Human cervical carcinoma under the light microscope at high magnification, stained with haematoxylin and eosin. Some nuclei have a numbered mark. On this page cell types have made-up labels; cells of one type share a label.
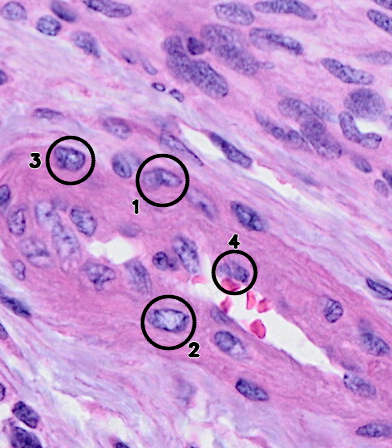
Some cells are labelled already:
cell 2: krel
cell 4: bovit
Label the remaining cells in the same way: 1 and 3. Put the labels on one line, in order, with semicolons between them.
krel; krel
